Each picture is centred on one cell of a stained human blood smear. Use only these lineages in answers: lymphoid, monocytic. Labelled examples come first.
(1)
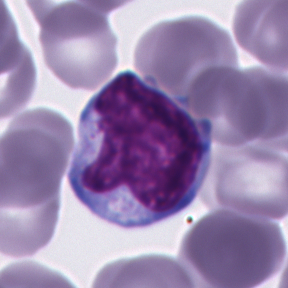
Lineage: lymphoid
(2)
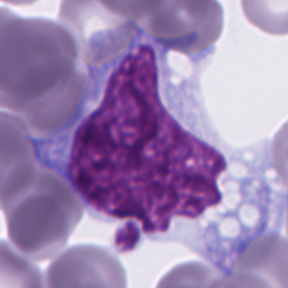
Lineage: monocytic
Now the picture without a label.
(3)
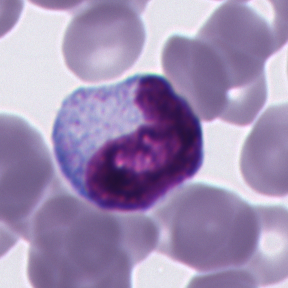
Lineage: lymphoid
